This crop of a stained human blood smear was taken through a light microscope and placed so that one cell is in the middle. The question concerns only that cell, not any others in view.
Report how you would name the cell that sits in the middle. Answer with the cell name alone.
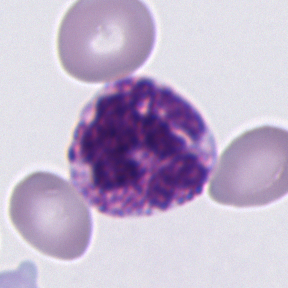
basophil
